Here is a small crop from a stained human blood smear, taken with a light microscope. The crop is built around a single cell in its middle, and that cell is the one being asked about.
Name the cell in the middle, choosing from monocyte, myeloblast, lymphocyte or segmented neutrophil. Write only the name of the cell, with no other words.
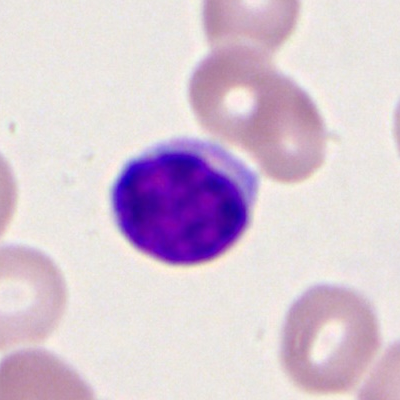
lymphocyte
